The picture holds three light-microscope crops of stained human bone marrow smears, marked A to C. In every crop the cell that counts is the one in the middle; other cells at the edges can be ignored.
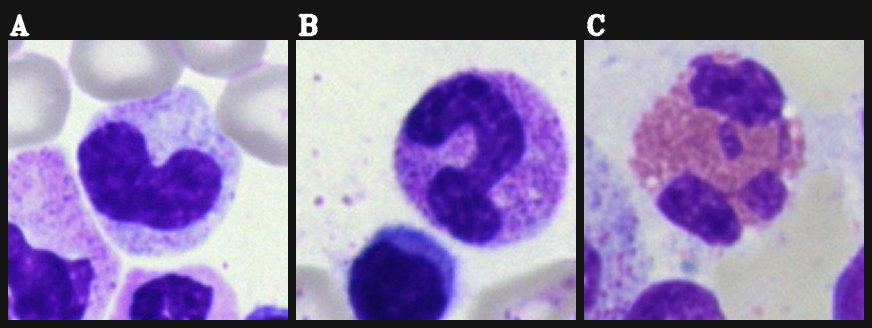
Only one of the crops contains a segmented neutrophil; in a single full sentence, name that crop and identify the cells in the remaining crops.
Depicted in crop B is a segmented neutrophil, while crop A is a band neutrophil and crop C is an eosinophil.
